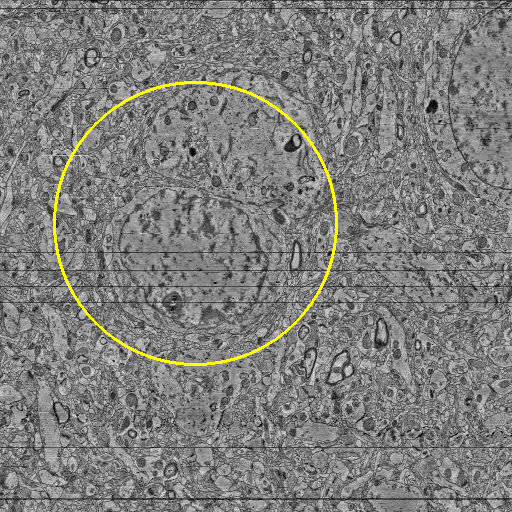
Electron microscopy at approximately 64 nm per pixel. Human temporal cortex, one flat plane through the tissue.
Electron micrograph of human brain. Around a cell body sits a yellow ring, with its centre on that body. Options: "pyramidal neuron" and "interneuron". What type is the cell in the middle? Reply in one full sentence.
The cell sitting at the centre of the yellow ring is an interneuron.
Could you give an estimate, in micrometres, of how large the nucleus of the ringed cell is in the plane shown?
The nucleus comes to roughly 10 micrometres across in this plane.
